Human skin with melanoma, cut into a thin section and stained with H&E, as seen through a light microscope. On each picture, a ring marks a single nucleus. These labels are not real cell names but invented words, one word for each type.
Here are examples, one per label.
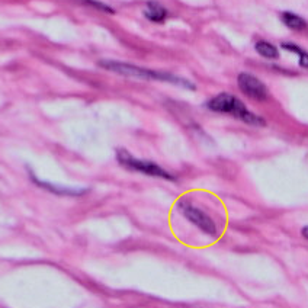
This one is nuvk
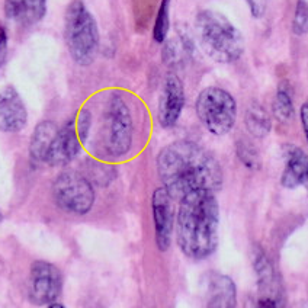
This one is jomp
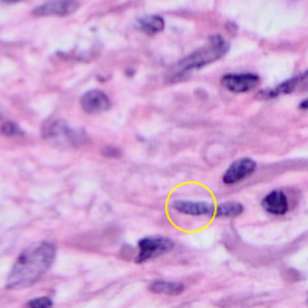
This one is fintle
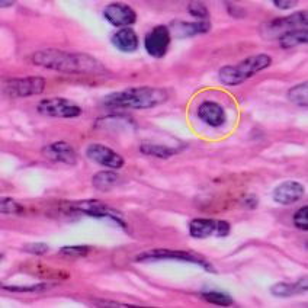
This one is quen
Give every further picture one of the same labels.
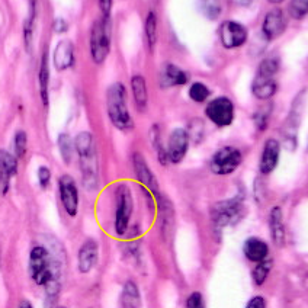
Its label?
quen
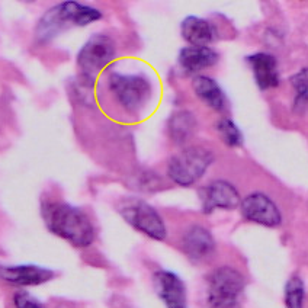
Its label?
jomp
